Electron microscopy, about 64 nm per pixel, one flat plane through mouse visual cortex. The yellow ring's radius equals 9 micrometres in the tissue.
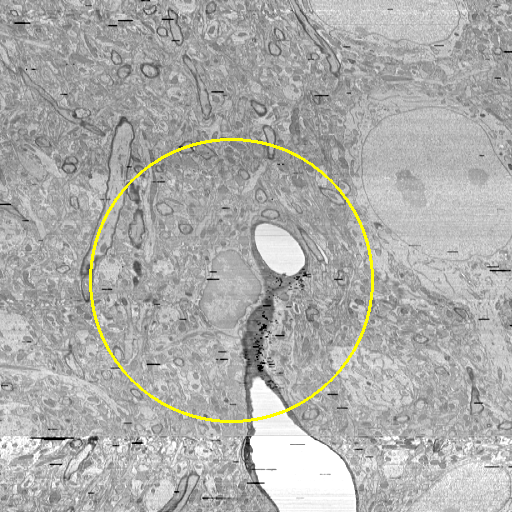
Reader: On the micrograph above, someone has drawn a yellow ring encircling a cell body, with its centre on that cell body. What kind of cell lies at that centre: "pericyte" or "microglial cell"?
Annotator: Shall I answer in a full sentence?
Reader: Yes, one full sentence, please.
Here a microglial cell sits at the centre of the yellow ring drawn on the micrograph.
